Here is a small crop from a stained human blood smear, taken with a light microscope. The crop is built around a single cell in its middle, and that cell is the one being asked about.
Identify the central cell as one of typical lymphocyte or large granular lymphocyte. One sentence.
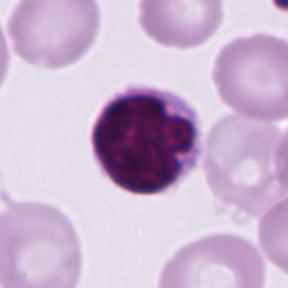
Framed in the middle of the crop is a typical lymphocyte.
